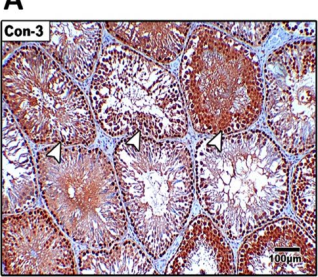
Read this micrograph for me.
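Lumina hold pale, wispy fibrillar material; in some tubules the luminal contents are diffusely brown. Thin strands of blue-counterstained interstitial tissue separate the tubules. Tubule outlines are regular and the epithelium is thick throughout.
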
